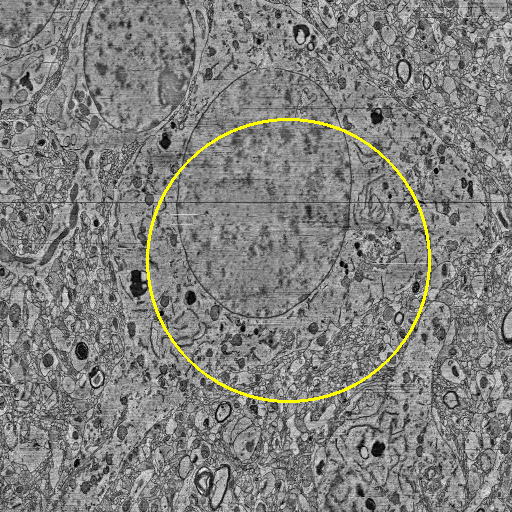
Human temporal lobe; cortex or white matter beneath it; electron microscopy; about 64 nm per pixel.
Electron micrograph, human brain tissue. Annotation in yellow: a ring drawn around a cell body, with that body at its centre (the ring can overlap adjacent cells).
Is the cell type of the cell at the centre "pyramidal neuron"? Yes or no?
Yes, it is of that type.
